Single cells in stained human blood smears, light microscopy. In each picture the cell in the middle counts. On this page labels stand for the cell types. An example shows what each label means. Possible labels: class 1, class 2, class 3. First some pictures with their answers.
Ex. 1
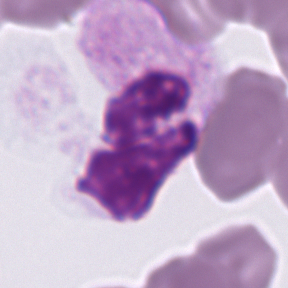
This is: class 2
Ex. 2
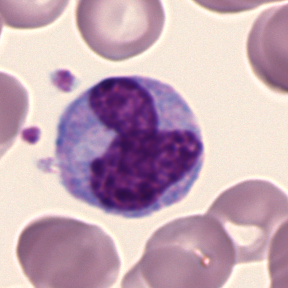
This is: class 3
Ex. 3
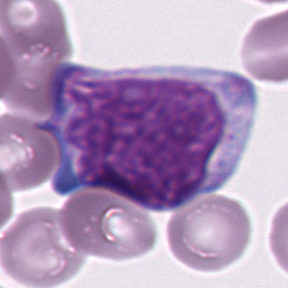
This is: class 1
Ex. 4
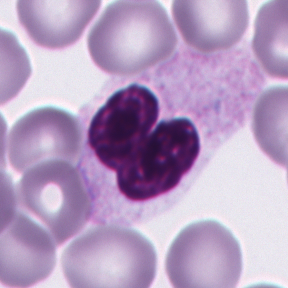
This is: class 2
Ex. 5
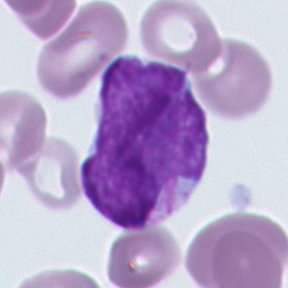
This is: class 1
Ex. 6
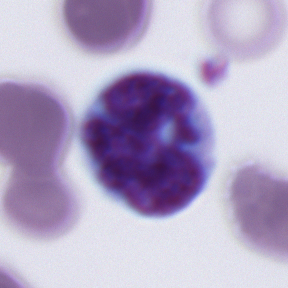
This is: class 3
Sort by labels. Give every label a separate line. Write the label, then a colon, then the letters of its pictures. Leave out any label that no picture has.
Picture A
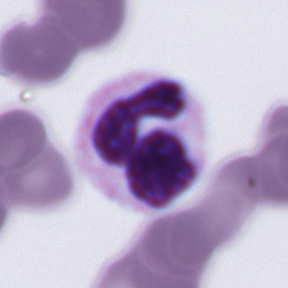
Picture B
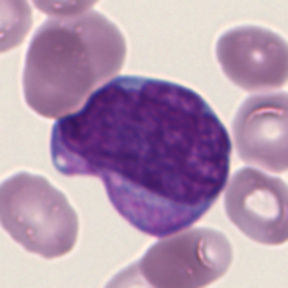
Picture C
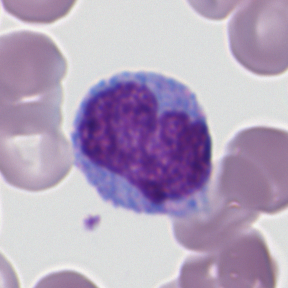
class 1: B
class 2: A
class 3: C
